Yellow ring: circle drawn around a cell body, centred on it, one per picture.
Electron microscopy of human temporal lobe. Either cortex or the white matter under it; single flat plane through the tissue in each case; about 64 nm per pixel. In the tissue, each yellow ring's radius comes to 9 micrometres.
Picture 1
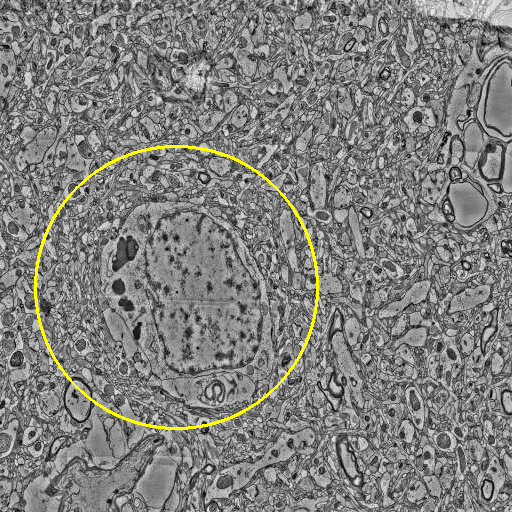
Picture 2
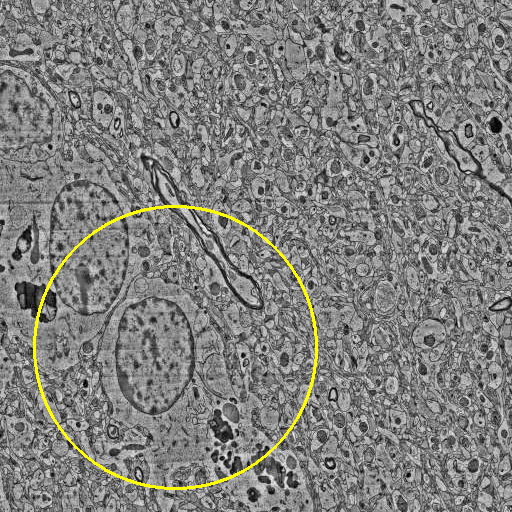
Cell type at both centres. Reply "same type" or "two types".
two types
